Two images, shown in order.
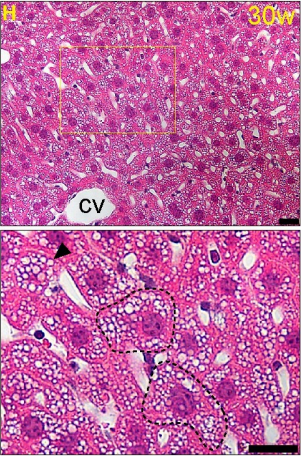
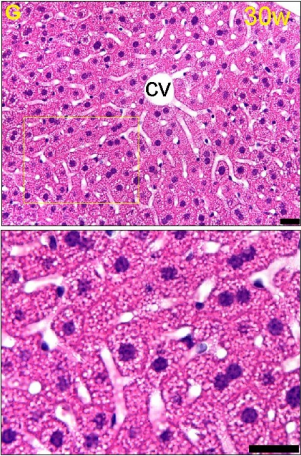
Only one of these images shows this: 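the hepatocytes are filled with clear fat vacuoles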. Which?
the first image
